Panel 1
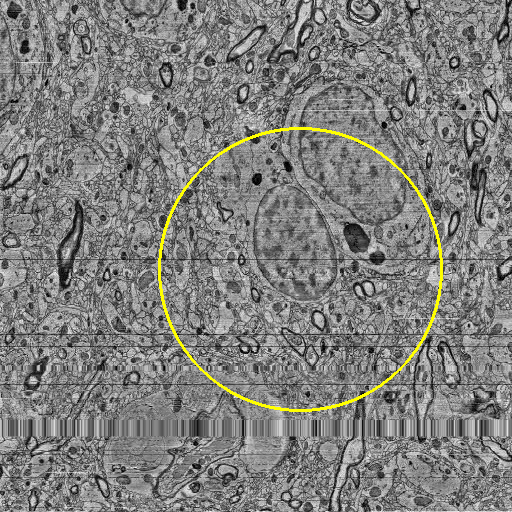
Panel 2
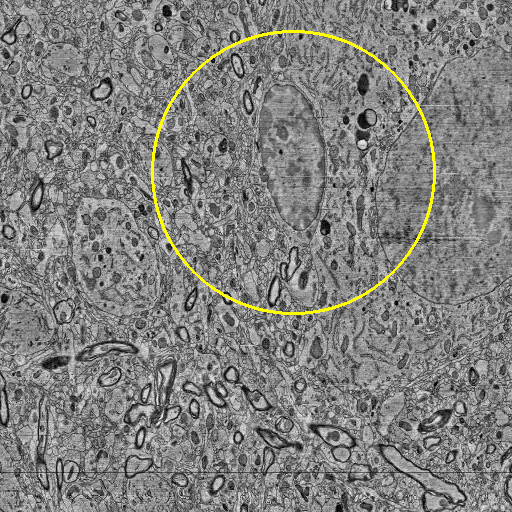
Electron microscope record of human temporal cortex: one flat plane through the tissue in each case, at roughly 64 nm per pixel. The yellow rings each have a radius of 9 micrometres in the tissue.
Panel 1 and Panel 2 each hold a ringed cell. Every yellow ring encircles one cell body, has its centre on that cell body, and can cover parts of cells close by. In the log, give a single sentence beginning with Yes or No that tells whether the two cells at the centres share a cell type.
Yes, in Panel 1 and Panel 2 the centred cells share a cell type.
